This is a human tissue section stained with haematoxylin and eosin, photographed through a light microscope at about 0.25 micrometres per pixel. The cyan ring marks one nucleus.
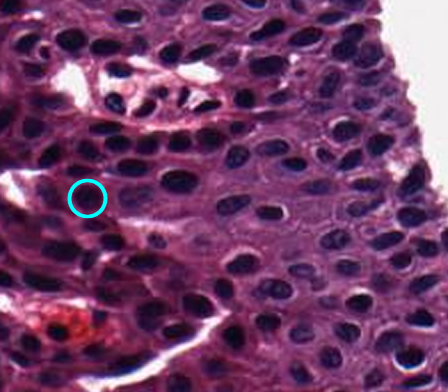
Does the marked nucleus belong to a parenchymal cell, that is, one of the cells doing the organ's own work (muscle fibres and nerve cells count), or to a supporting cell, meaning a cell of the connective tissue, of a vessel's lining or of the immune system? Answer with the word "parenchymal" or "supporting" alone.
parenchymal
